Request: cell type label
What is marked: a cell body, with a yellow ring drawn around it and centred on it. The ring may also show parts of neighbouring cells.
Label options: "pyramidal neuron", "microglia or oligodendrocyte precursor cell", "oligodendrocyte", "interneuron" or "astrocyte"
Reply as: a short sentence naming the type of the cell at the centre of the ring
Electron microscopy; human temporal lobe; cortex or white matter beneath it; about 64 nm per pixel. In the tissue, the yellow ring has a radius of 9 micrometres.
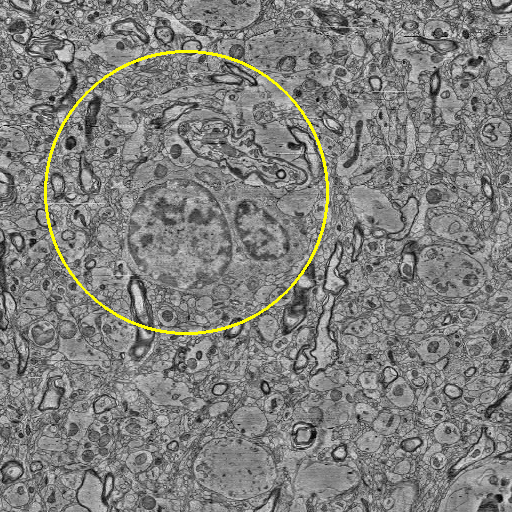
The marked cell body is that of an oligodendrocyte.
